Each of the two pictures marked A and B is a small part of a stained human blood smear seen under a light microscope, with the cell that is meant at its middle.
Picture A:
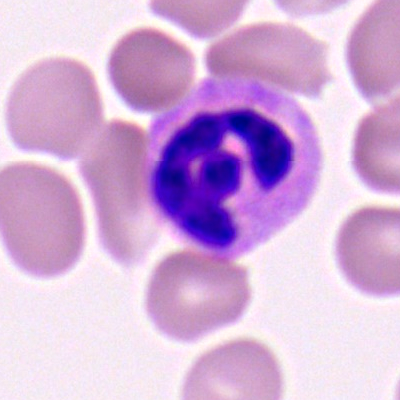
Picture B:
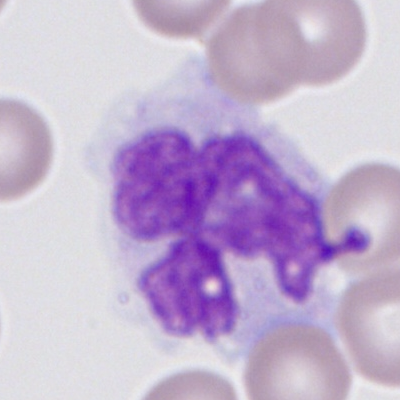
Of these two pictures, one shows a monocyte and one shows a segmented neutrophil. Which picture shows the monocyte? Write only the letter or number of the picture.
B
